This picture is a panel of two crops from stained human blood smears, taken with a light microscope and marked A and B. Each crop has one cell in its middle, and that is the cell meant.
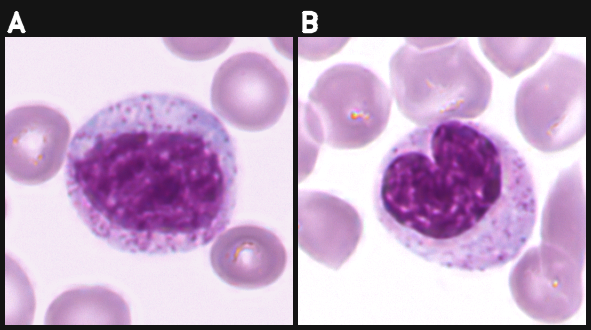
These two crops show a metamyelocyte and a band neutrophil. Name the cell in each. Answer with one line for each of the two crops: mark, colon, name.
A: metamyelocyte
B: band neutrophil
